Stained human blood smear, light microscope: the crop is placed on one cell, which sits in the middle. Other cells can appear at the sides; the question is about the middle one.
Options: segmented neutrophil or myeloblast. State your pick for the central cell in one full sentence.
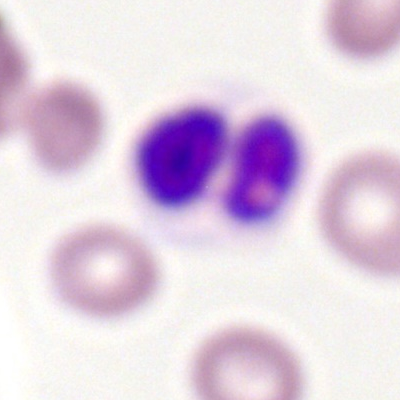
The middle cell in this particular crop is a segmented neutrophil.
